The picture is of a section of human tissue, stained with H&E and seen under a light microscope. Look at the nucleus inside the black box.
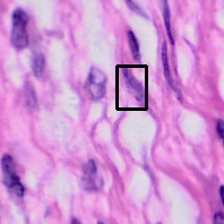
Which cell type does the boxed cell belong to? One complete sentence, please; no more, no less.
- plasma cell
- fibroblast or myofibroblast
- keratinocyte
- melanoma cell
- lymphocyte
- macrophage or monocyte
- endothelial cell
Considered by cell type, the boxed cell is a fibroblast or myofibroblast.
